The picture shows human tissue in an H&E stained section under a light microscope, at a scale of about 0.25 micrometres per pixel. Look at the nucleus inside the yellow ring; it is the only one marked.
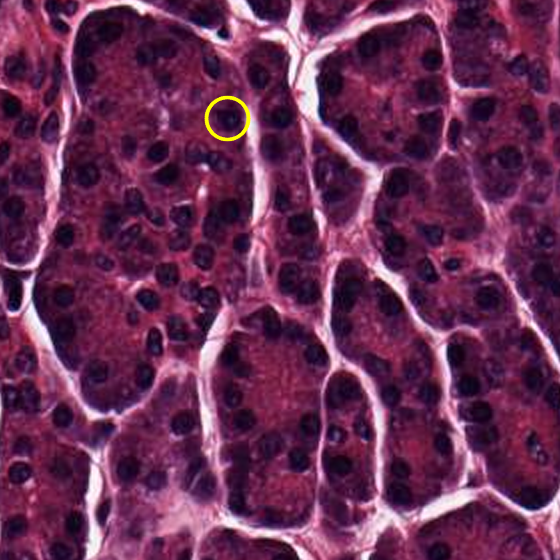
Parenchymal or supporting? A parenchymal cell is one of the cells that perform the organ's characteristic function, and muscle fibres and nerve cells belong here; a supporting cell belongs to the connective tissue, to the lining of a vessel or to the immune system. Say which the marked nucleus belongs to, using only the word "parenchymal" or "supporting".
parenchymal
